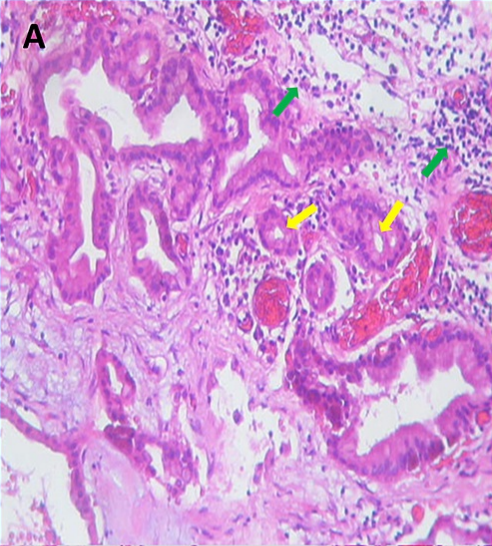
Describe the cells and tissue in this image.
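A cyst wall lined by columnar epithelial cells forming cystic and glandular spaces, the cells with pink cytoplasm and dark nuclei near their base. The loose stroma between the glands holds blood vessels filled with red cells and dense collections of small, dark, round inflammatory cells.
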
